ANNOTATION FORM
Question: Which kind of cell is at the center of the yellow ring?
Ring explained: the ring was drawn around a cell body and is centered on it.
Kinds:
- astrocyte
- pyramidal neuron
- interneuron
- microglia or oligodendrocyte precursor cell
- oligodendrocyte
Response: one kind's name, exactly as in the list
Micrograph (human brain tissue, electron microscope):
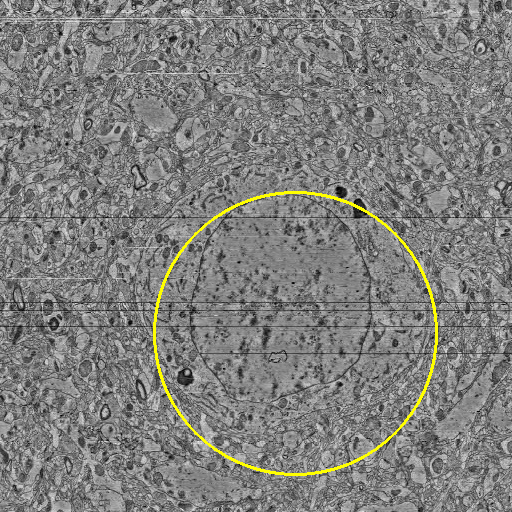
pyramidal neuron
